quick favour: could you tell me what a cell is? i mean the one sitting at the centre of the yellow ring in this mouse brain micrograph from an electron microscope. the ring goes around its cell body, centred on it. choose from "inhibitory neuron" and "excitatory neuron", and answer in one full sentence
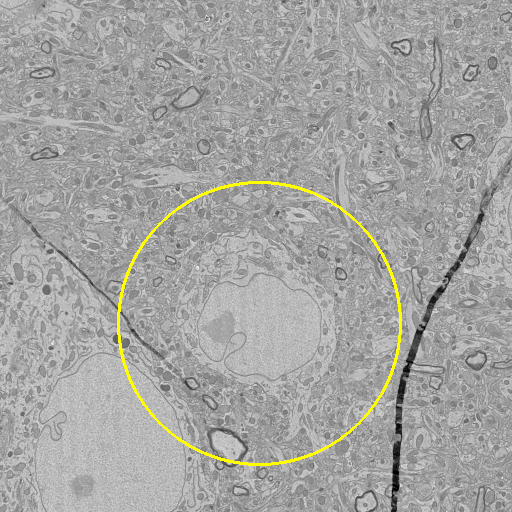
That's an excitatory neuron, the cell sitting at the centre of the yellow ring.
